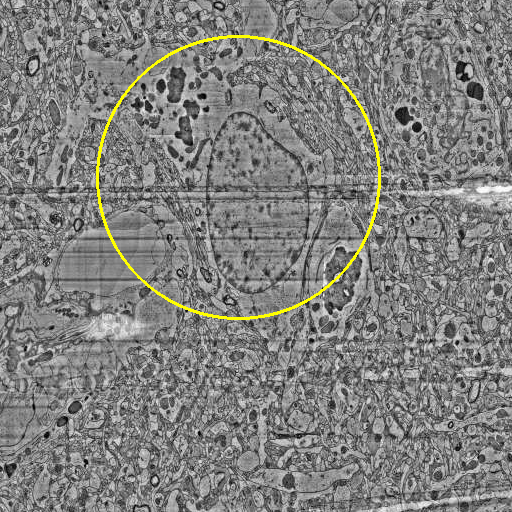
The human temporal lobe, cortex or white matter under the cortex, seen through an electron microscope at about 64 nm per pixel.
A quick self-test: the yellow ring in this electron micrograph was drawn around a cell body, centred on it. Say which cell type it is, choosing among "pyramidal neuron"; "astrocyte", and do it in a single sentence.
The yellow-ringed cell is an astrocyte.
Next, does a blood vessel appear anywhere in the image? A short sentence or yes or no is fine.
Yes, a blood vessel shows in the picture.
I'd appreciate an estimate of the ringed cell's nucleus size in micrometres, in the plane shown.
The nucleus comes to approximately 12 by 7 micrometres and is clearly longer than it is wide in this plane.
